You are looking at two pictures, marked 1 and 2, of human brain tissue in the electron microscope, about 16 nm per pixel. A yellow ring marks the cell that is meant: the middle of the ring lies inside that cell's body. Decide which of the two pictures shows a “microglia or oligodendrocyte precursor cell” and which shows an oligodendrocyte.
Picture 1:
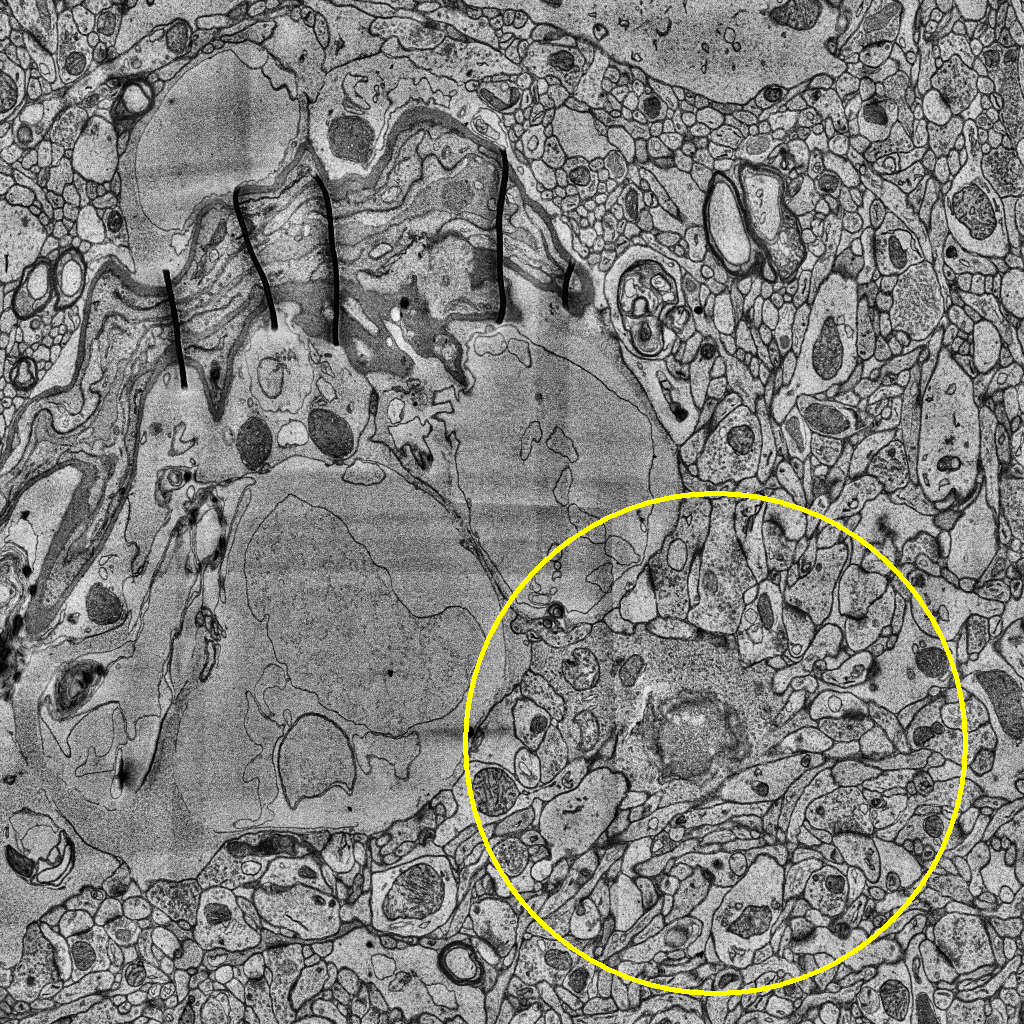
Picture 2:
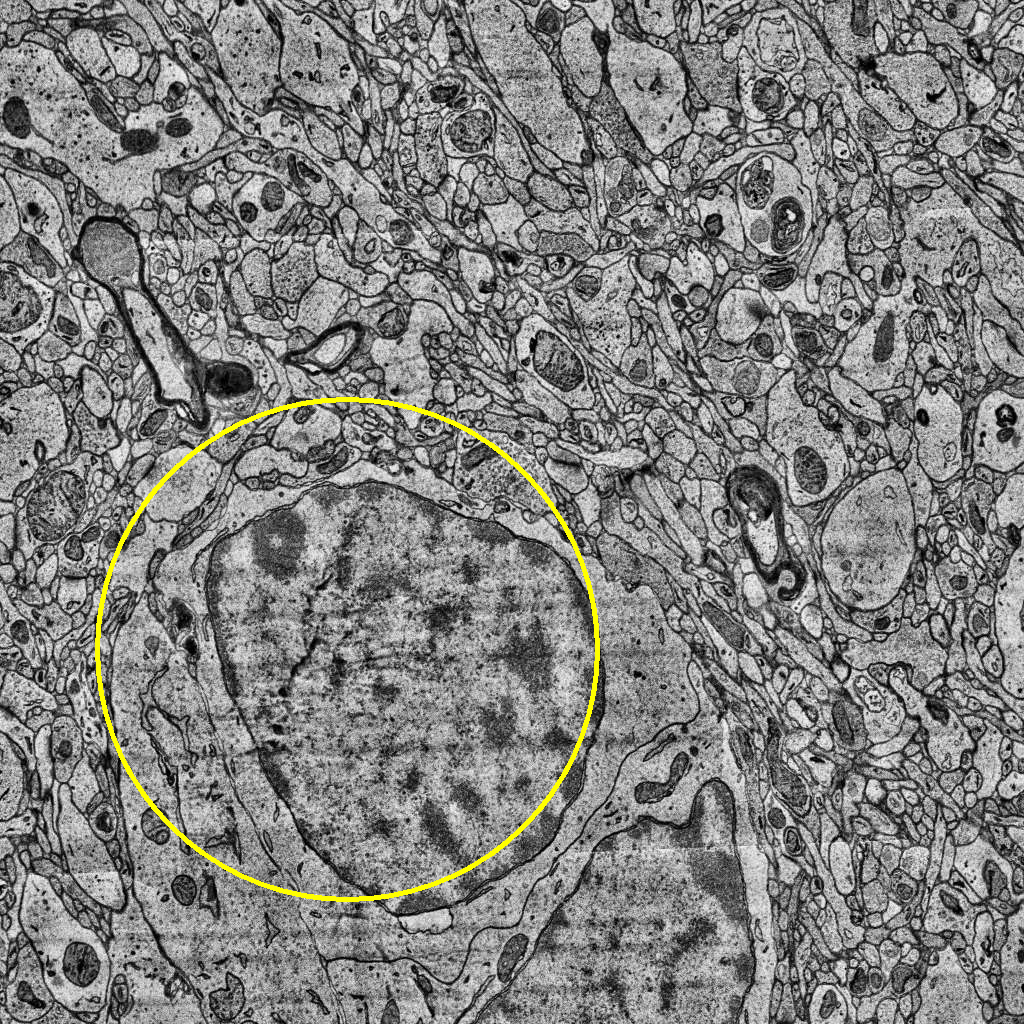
Picture 1 shows an oligodendrocyte and picture 2 shows a “microglia or oligodendrocyte precursor cell”.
